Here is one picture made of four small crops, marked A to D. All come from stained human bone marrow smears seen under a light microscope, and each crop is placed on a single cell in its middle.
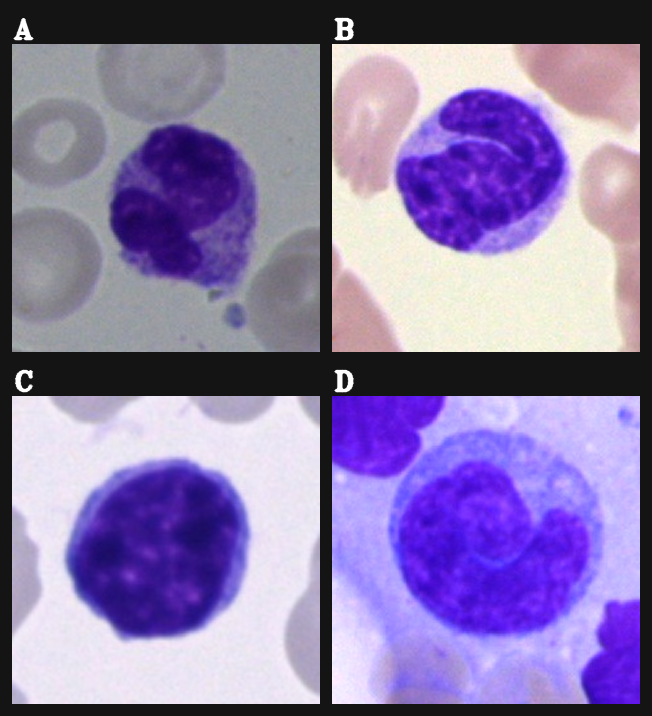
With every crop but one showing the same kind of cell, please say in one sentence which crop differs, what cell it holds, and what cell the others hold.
Unlike the other crops, which all show monocytes, crop C is a lymphocyte.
